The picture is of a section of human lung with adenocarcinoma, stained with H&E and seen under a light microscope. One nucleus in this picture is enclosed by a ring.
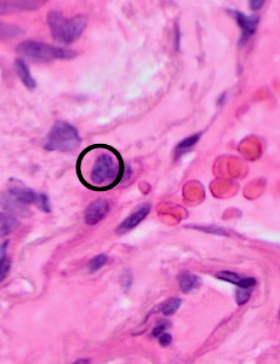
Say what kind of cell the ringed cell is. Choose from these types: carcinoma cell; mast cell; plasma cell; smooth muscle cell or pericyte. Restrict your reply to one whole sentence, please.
Within this tissue, the ringed cell is a mast cell.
